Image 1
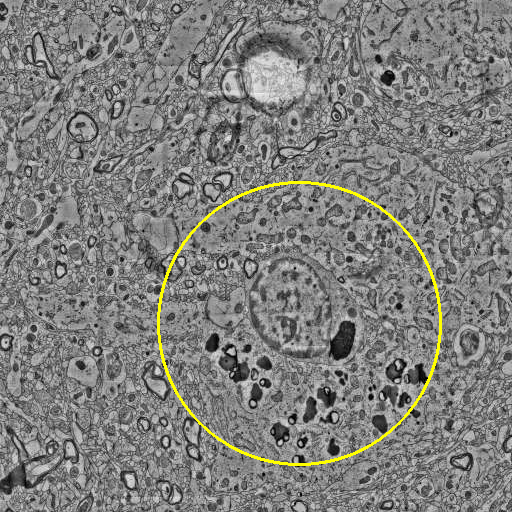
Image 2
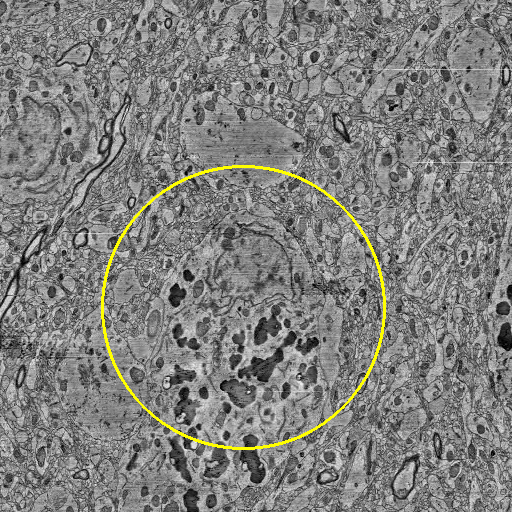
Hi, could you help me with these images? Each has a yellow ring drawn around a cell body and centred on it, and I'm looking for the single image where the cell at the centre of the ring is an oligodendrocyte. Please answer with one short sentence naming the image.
It is Image 1 that has it at the centre of its ring.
